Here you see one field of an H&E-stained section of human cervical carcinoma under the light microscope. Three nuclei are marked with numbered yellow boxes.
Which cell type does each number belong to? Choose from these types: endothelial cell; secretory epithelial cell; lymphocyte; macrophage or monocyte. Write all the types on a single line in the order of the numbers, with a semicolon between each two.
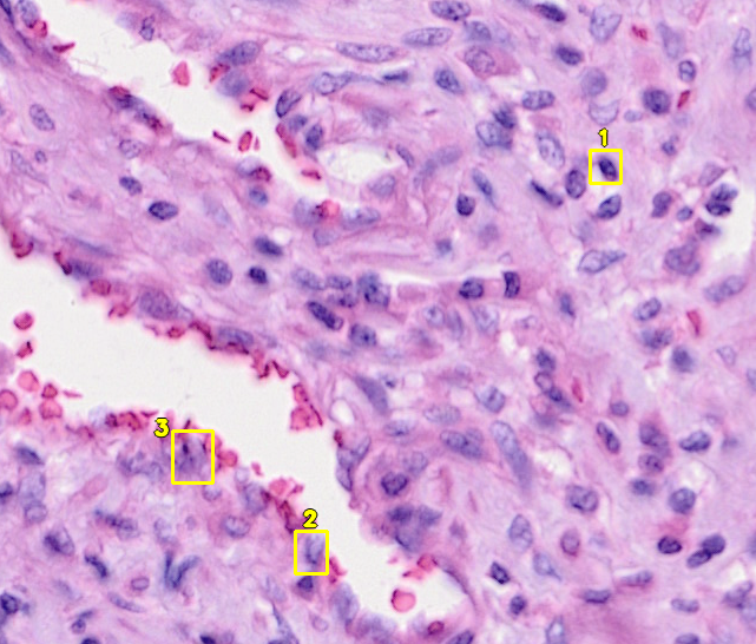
lymphocyte; endothelial cell; endothelial cell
